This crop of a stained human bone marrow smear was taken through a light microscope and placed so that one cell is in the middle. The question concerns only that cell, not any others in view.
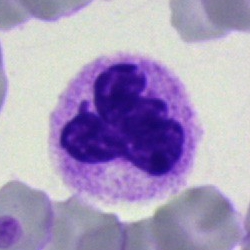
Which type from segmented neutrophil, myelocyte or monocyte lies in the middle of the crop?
segmented neutrophil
